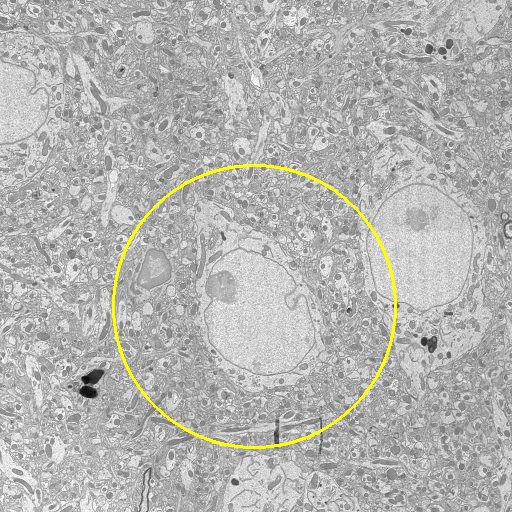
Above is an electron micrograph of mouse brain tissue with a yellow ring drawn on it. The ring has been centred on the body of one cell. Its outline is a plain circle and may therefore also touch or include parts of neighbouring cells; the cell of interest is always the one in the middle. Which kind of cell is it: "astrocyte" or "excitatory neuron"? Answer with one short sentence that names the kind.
The ring's central cell body is that of an excitatory neuron.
